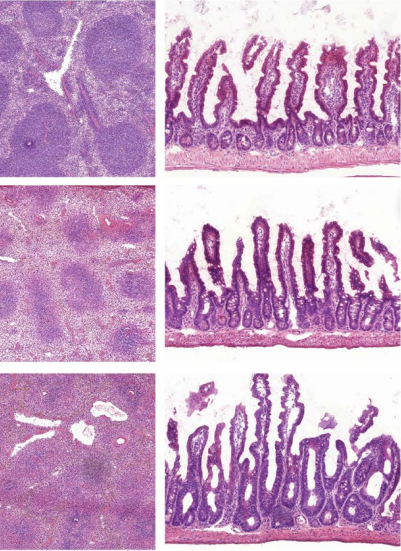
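In the spleen, dense purple rounded nodules of white pulp sit within paler pink-purple red pulp; in the top row the nodules are large and well defined, while in the lower rows they look smaller and less distinct. In the intestine, slender villi project above a layer of crypts resting on a thin pink muscular wall. In the bottom row the villi look irregular, some thickened or club-shaped, and the crypt layer appears less regular than in the top row.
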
